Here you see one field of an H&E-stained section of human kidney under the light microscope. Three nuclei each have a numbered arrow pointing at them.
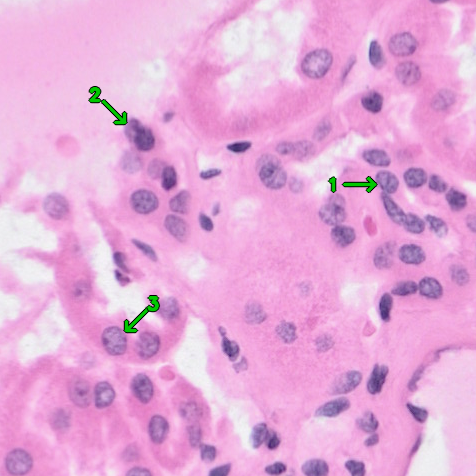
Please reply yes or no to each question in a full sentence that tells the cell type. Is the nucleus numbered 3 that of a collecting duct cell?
No, cell 3 does not count as a collecting duct cell; it is a proximal tubule cell.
